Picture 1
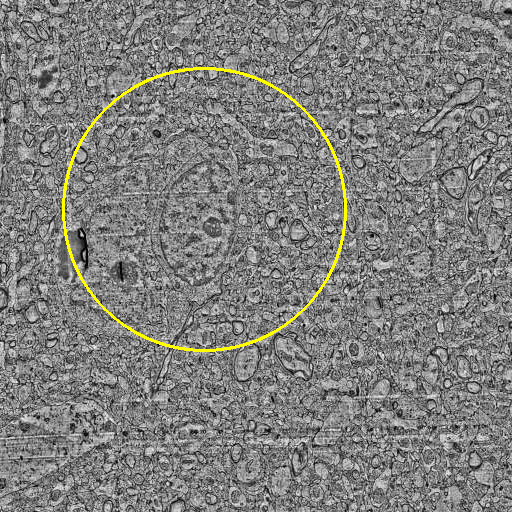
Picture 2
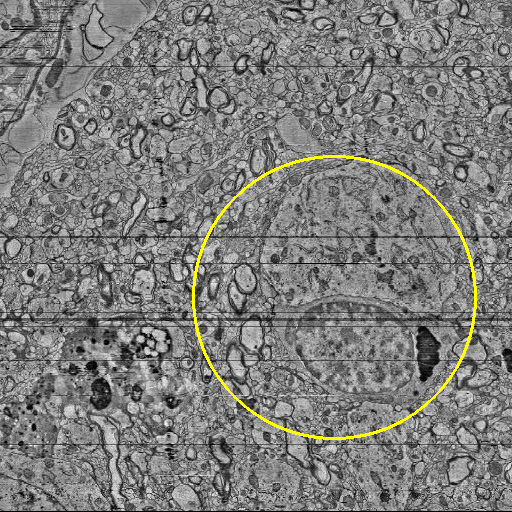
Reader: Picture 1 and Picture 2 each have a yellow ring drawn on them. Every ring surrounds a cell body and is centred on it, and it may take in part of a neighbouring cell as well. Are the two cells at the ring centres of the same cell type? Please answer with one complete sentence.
Yes, both cells are of the same cell type.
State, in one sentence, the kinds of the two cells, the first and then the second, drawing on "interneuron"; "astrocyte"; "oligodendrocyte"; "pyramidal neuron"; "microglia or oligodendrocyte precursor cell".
Both pictures show an oligodendrocyte at the centre of the ring.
